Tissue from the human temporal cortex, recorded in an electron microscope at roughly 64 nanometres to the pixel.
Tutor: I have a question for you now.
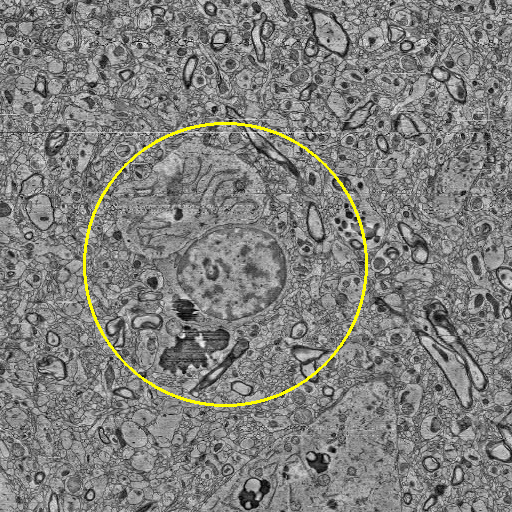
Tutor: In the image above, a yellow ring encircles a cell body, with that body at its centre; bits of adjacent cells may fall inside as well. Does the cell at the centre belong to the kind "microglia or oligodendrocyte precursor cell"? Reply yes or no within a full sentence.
No, the centred cell inside the ring belongs to another kind.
